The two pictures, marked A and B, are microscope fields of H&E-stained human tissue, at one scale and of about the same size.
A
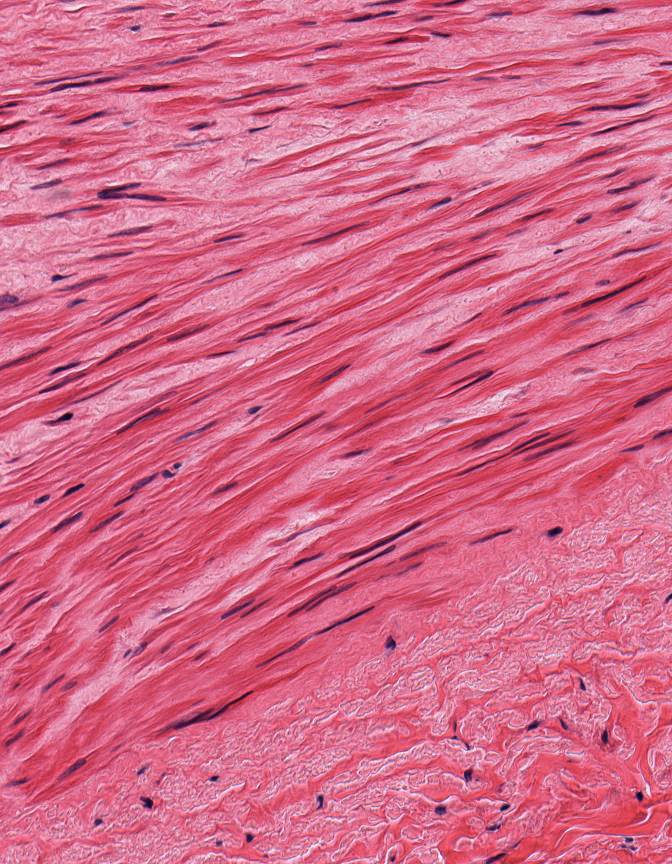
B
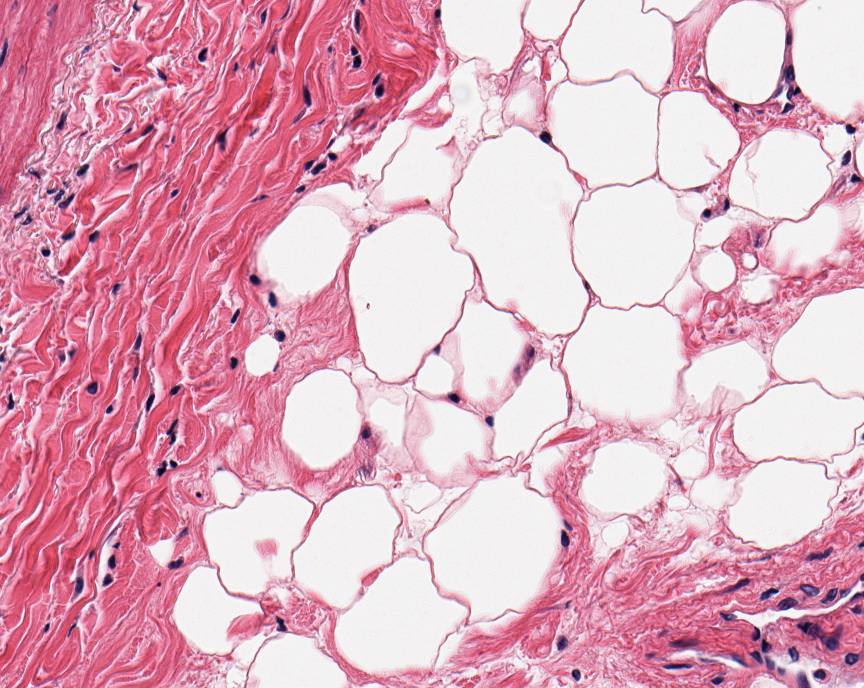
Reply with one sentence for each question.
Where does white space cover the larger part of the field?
More of picture B is empty and white.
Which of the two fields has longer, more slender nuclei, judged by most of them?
The nuclei are more elongated in picture A.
